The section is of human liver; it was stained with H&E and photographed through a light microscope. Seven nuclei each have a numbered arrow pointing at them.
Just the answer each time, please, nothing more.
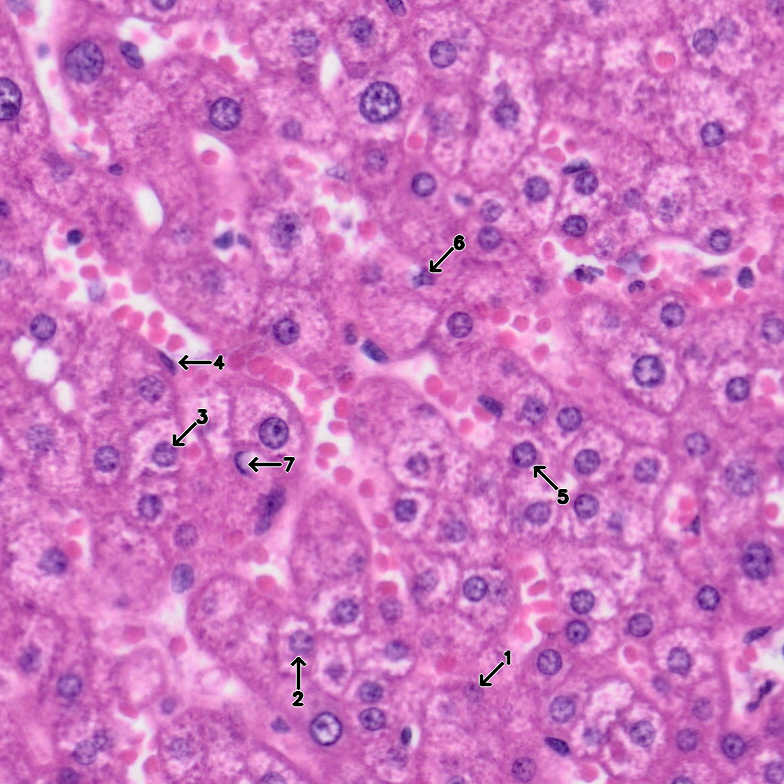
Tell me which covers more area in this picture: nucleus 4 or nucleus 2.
2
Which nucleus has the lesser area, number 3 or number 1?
1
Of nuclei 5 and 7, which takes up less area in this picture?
7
